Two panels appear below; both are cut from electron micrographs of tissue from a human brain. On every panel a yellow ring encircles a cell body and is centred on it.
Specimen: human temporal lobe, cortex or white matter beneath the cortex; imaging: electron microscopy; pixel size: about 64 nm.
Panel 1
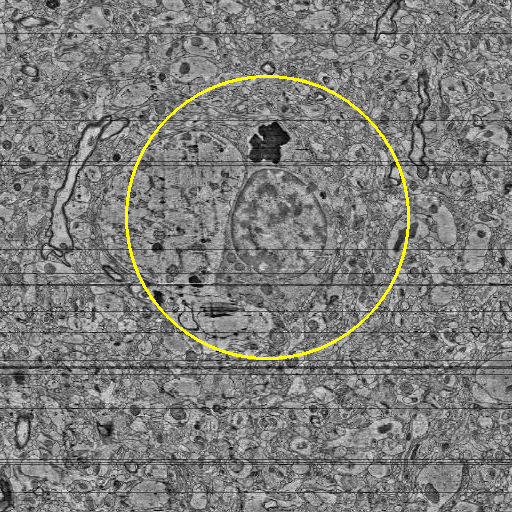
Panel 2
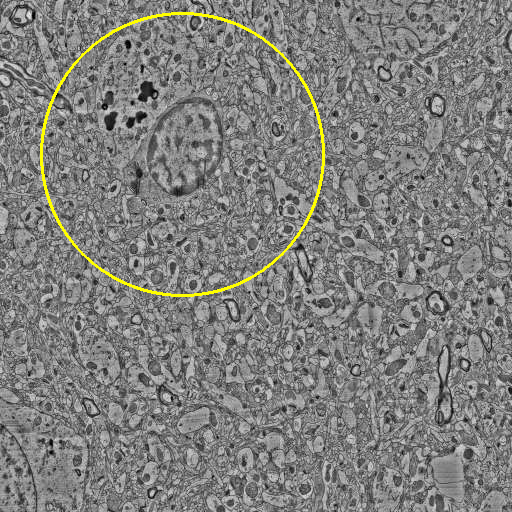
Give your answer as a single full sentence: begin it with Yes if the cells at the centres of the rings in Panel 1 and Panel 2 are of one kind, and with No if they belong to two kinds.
Yes, the cells in the middle of the rings in Panels 1 and 2 are of one kind.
